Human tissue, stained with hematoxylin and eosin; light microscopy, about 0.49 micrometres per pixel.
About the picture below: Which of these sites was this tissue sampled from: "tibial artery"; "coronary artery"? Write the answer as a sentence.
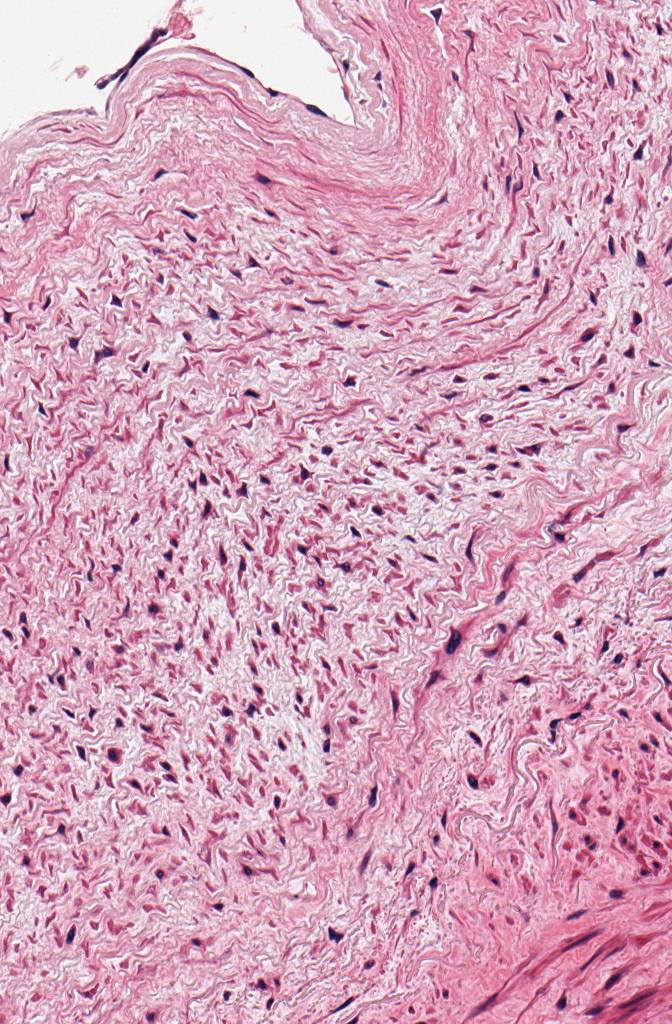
The site this tissue was sampled from is the tibial artery.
